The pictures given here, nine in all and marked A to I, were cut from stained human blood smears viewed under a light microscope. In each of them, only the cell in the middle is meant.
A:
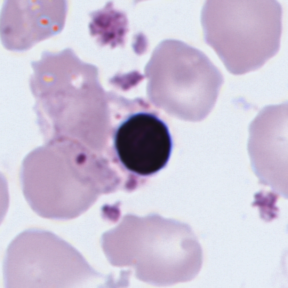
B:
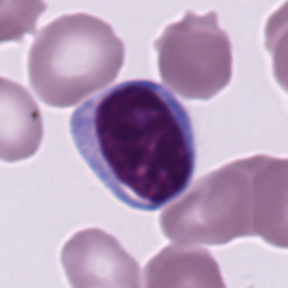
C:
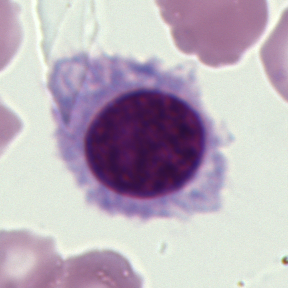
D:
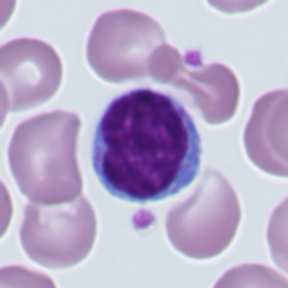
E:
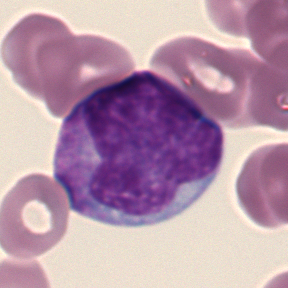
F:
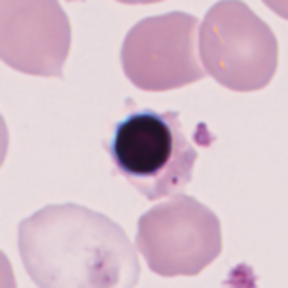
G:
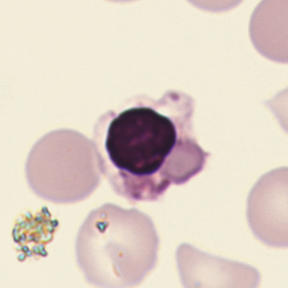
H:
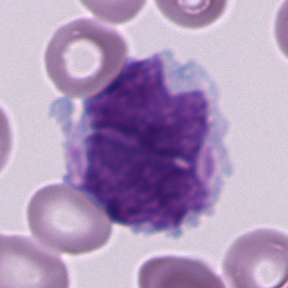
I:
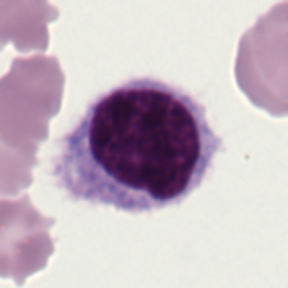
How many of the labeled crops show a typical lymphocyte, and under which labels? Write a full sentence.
The number of crops with typical lymphocytes is two: B and D.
